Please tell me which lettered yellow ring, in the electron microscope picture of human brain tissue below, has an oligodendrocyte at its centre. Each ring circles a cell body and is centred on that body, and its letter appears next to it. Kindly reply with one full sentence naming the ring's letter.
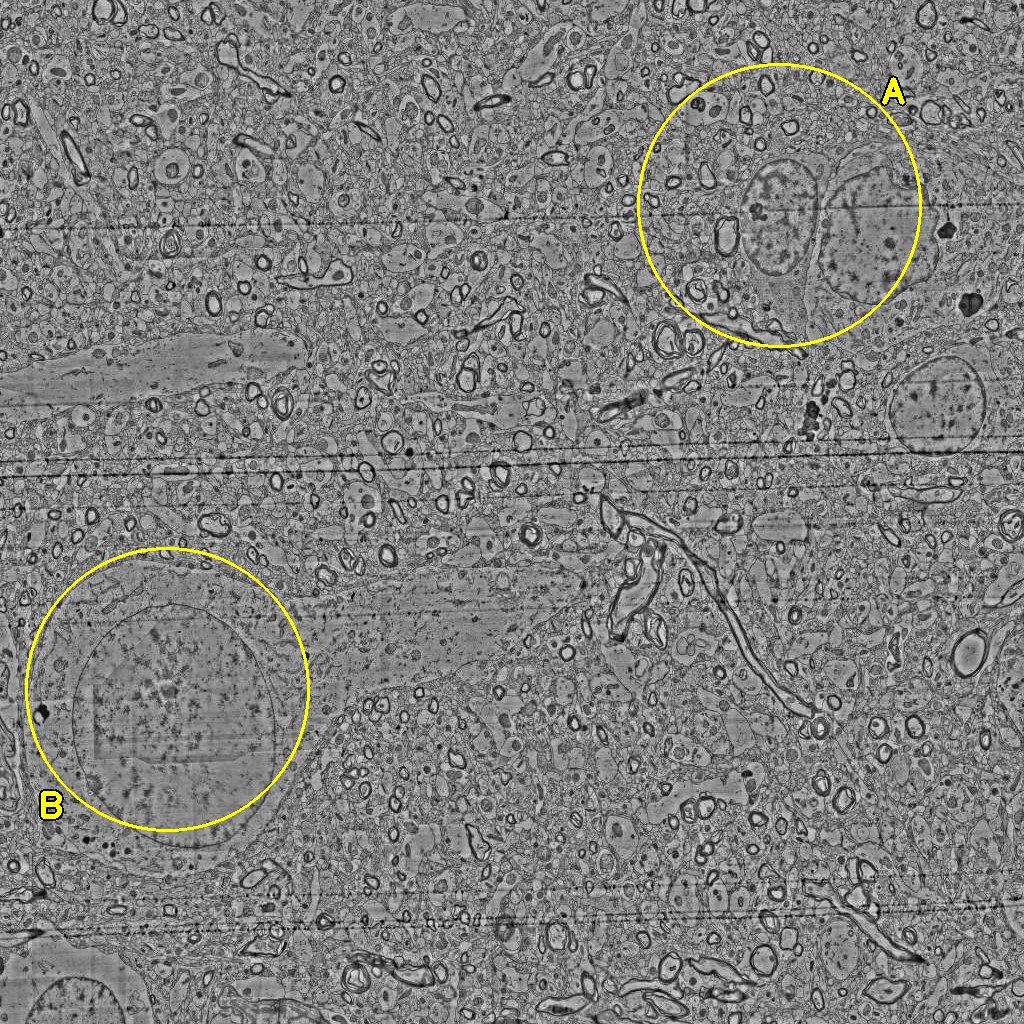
Ring A has the cell asked for at its centre.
